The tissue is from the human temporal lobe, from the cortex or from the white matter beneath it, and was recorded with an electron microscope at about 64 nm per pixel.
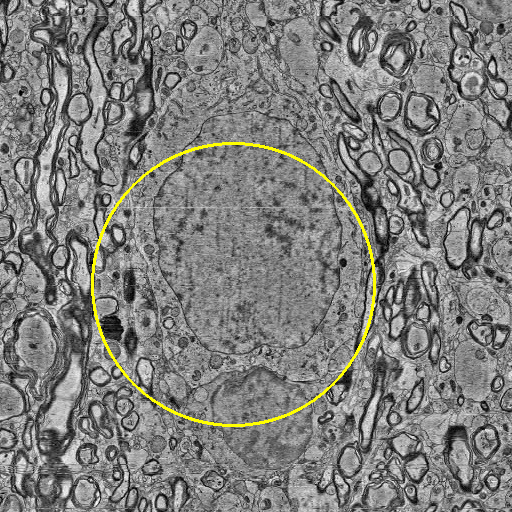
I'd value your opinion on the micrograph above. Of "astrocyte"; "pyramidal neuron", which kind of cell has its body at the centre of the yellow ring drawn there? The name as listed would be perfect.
pyramidal neuron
